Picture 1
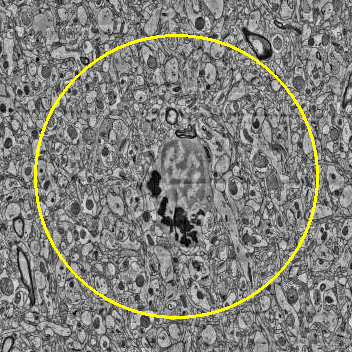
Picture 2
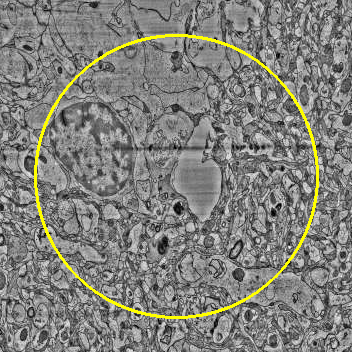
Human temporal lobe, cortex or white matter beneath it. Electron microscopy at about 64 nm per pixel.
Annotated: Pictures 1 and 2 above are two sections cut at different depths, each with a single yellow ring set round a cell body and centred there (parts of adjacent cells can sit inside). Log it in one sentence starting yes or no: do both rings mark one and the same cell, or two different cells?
No, each yellow ring marks its own cell.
